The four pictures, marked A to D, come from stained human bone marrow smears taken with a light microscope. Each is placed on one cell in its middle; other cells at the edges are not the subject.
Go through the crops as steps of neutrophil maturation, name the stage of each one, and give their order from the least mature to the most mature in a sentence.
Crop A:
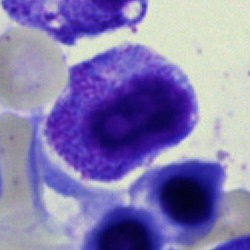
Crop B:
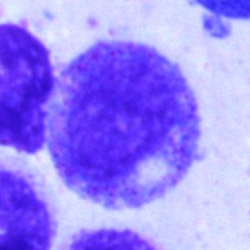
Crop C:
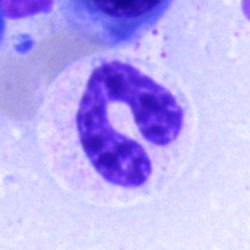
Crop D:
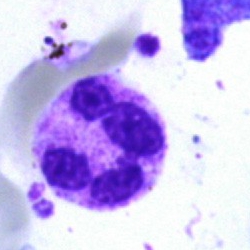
From the least mature to the most mature, the sequence runs crop B (a promyelocyte), crop A (a myelocyte), crop C (a band neutrophil) and crop D (a segmented neutrophil).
